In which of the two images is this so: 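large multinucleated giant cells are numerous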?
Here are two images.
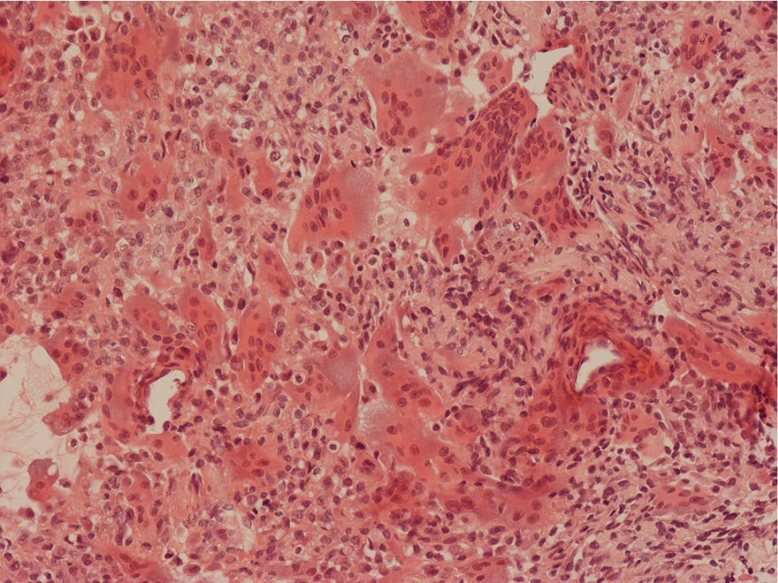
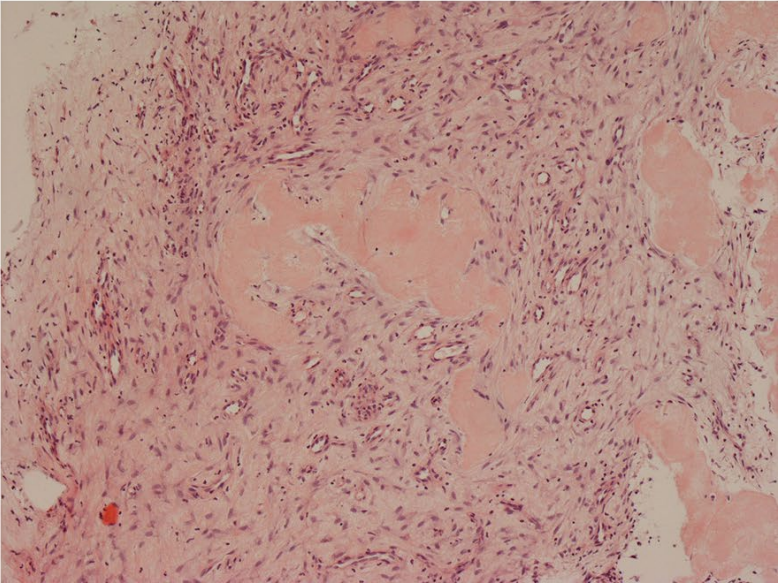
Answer: the first image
